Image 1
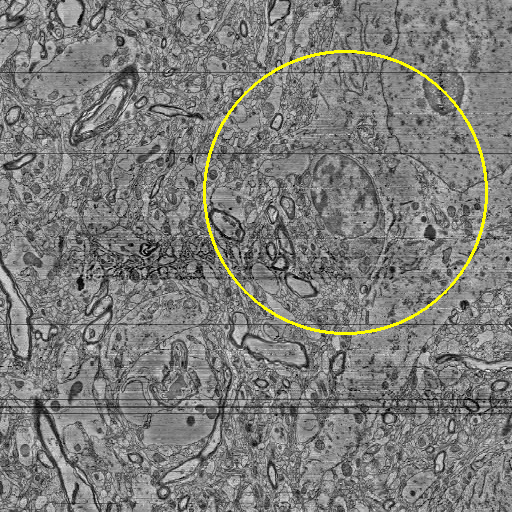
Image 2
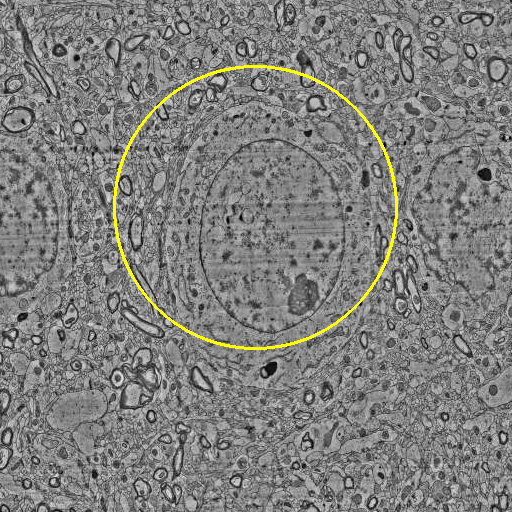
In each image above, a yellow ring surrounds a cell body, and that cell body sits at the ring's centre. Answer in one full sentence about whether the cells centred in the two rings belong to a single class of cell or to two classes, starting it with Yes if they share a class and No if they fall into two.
No, the cells centred in the two yellow rings belong to two classes of cell.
